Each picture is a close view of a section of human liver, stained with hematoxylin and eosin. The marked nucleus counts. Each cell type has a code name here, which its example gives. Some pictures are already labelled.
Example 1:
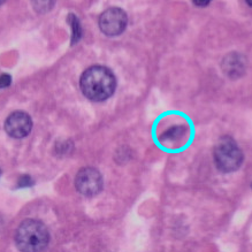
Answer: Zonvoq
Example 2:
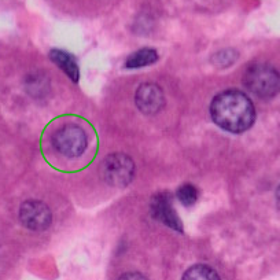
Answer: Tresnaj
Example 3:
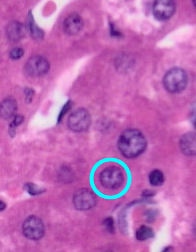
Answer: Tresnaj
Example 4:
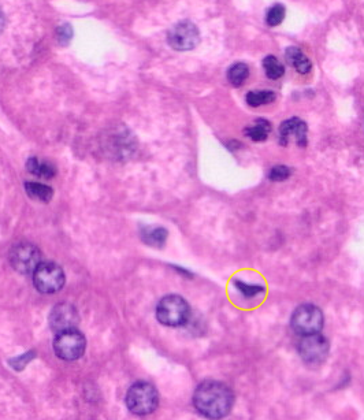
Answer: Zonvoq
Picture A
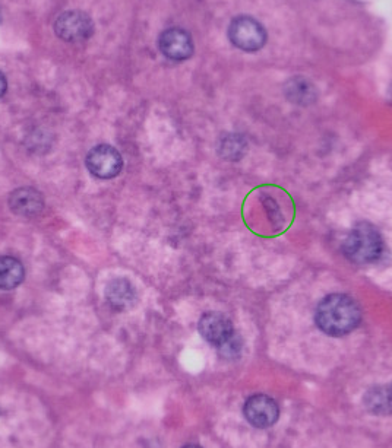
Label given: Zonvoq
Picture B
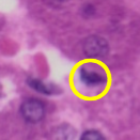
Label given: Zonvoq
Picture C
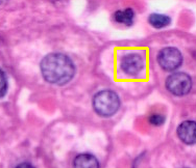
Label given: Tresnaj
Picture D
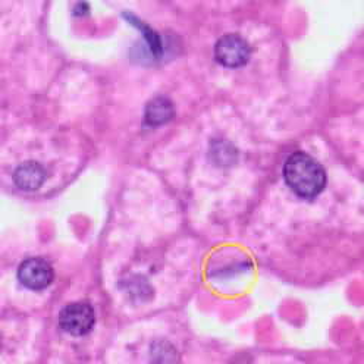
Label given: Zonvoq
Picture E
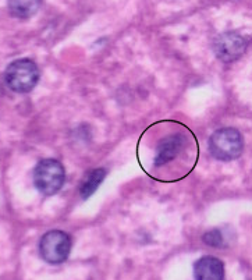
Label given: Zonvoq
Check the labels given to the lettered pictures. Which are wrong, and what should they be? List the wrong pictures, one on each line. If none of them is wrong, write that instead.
All labels are correct.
